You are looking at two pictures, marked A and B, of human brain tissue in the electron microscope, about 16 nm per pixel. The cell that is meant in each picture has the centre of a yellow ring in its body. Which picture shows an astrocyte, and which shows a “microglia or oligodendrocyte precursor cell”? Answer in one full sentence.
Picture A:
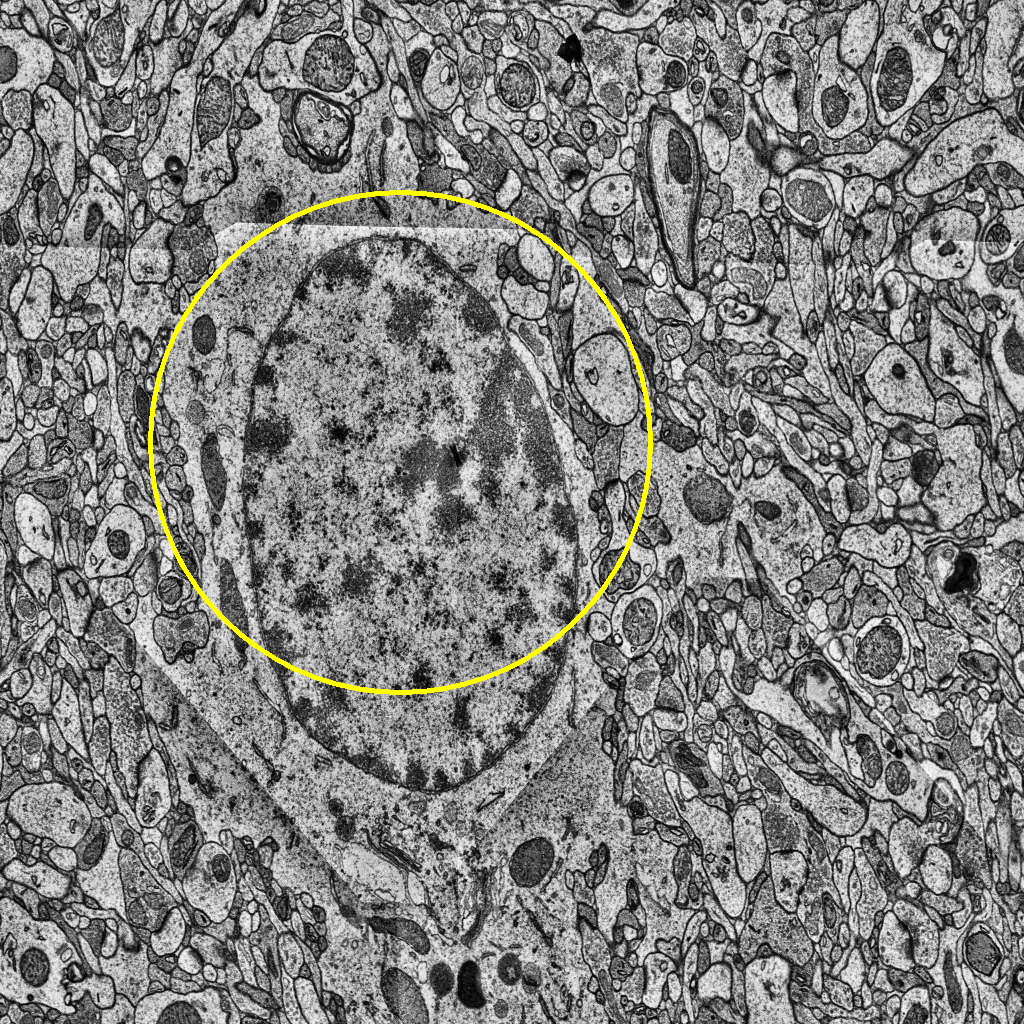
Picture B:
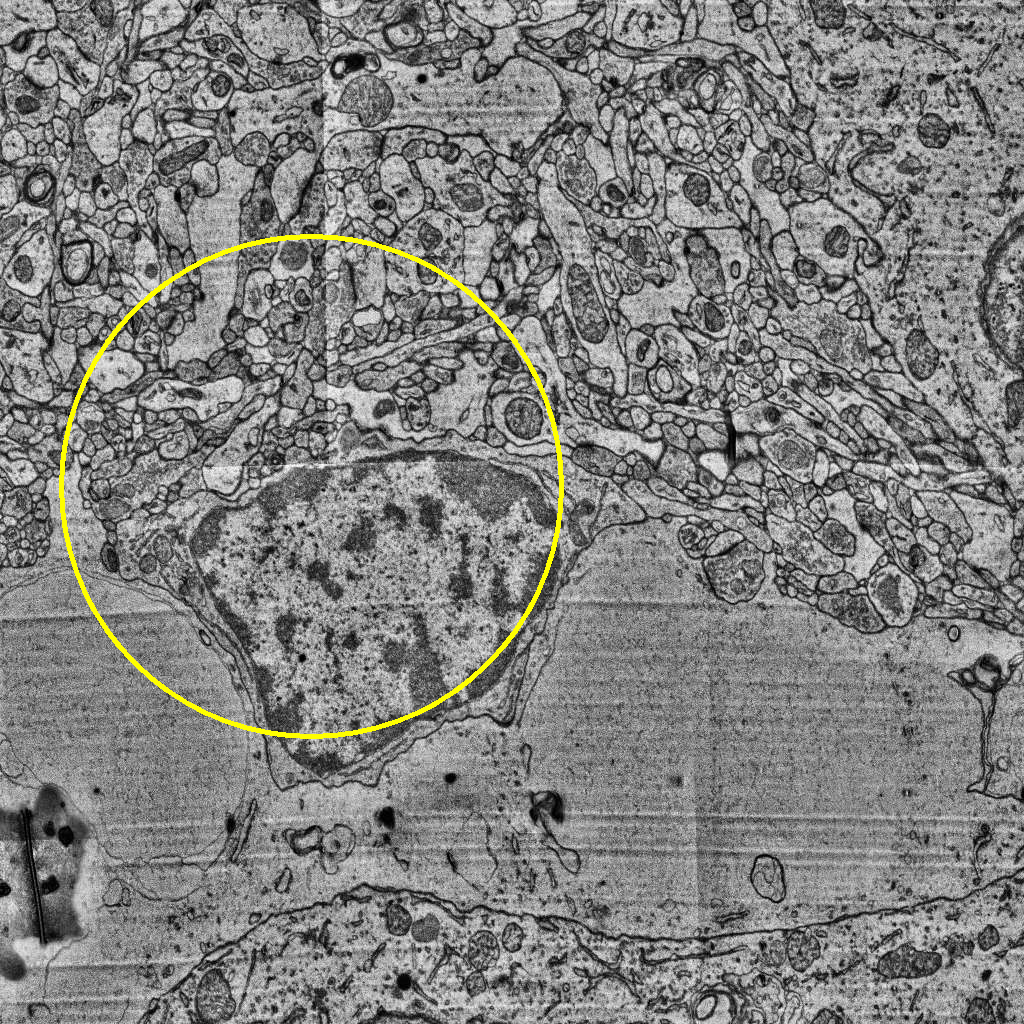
Picture B shows a “microglia or oligodendrocyte precursor cell”, while picture A shows an astrocyte.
